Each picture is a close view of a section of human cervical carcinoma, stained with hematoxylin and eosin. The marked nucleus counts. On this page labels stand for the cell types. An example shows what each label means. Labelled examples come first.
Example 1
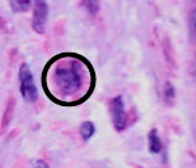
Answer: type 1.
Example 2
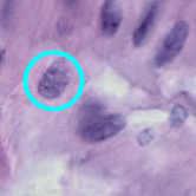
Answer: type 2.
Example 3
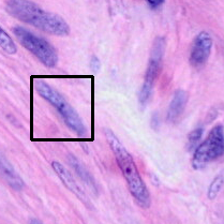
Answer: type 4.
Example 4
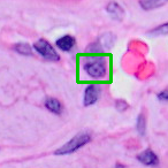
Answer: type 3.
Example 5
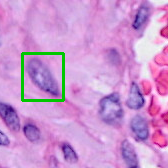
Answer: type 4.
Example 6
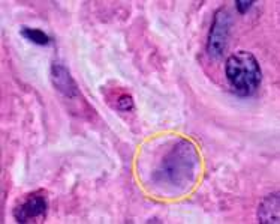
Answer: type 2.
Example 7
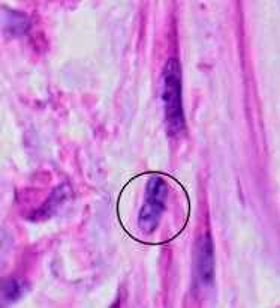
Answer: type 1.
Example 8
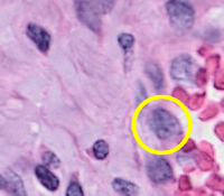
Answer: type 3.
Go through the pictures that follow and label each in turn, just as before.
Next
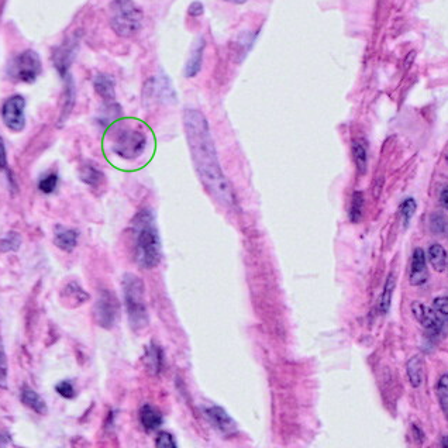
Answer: type 1.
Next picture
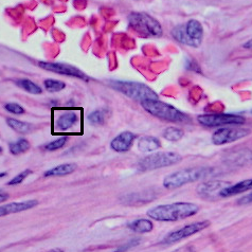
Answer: type 4.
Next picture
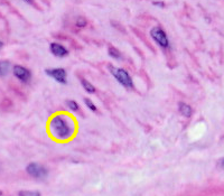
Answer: type 4.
